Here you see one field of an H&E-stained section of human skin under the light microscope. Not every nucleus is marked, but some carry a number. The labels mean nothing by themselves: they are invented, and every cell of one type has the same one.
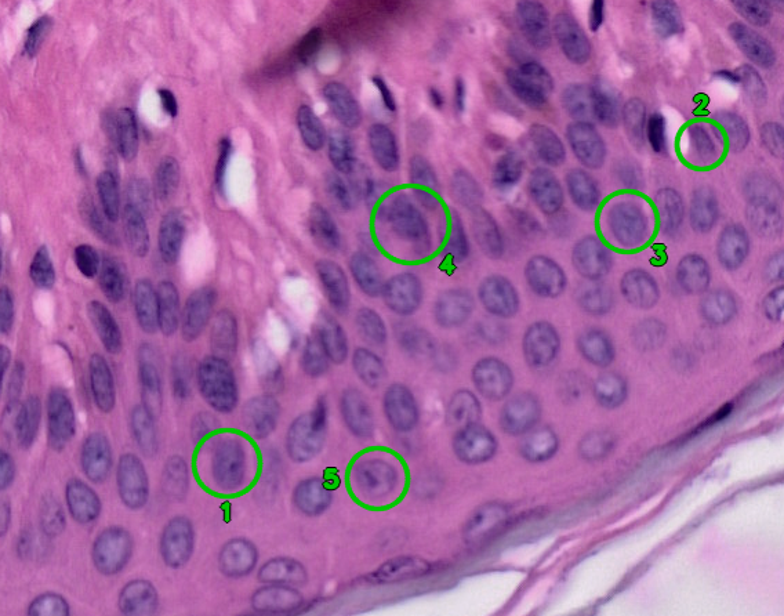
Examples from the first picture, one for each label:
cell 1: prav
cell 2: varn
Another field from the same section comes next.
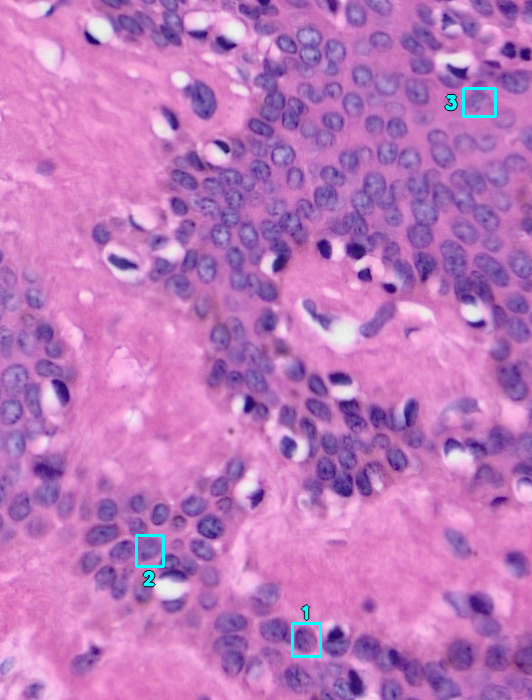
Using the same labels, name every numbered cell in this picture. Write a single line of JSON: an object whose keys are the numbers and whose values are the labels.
{"1": "varn", "2": "varn", "3": "prav"}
